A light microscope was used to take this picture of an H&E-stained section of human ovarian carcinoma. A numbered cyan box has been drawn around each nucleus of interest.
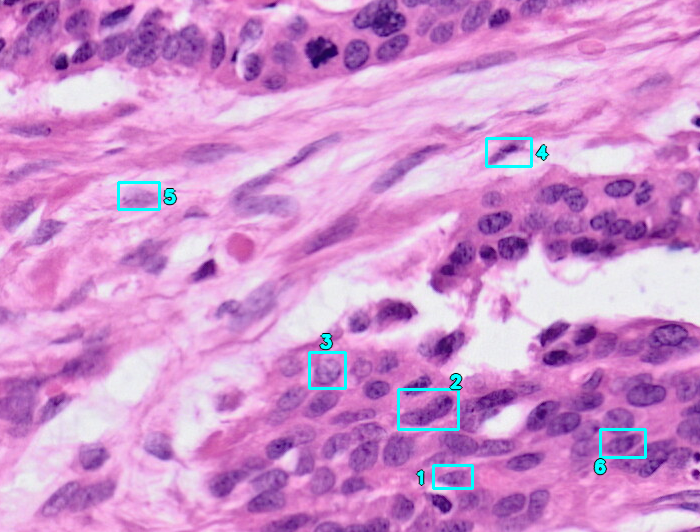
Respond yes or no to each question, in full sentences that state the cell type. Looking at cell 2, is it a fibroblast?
No, rather than a fibroblast, cell number 2 is a carcinoma cell.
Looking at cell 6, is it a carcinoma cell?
Yes, the cell indicated by number 6 is a carcinoma cell.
